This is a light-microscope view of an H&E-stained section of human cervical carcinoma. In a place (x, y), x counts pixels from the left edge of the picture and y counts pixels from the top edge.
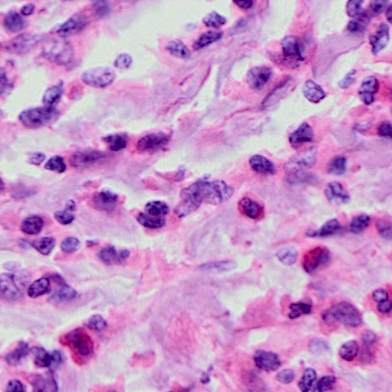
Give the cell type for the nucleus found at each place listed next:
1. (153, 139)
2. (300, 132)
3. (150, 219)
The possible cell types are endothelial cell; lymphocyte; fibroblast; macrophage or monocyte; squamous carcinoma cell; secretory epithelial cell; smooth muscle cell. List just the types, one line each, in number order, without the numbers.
macrophage or monocyte
lymphocyte
lymphocyte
